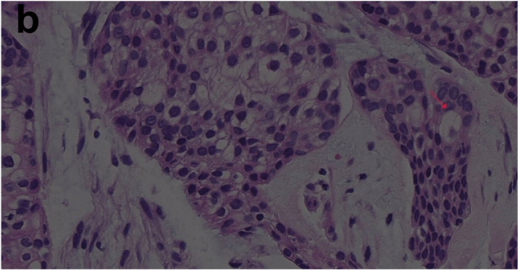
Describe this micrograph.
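Nests and cords of small-to-medium-sized epithelioid tumor cells set in pale, loose stroma. The cells have round to oval nuclei of fairly uniform size without marked pleomorphism. Cytoplasm is pale pink to clear. Within one nest small round lumen-like spaces give a tubular look. Sparse spindle-shaped stromal cells lie between the nests.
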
